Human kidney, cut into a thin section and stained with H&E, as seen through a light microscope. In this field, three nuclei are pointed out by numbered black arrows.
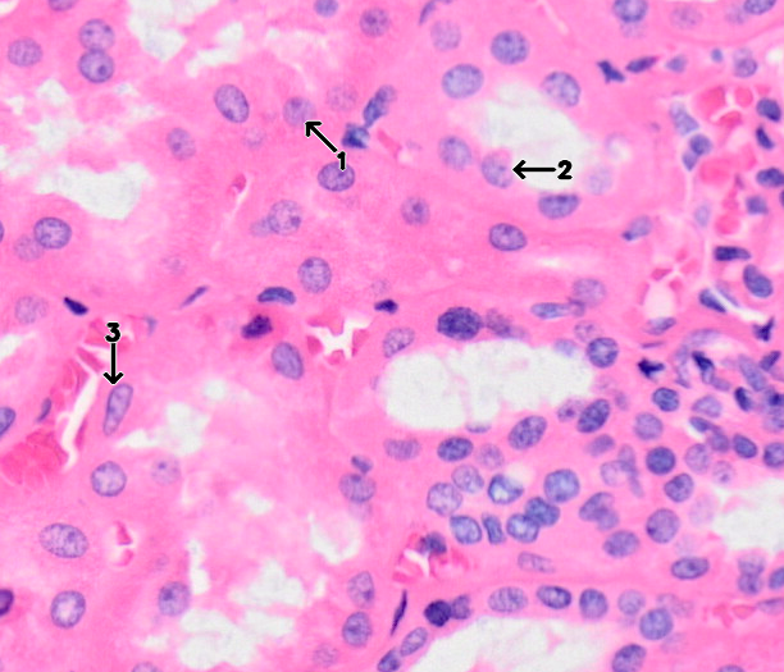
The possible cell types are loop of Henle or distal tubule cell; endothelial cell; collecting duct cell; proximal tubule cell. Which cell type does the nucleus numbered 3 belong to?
proximal tubule cell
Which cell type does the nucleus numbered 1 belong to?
proximal tubule cell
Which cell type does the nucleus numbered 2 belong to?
loop of Henle or distal tubule cell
